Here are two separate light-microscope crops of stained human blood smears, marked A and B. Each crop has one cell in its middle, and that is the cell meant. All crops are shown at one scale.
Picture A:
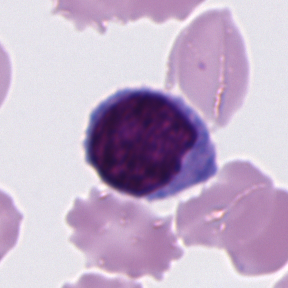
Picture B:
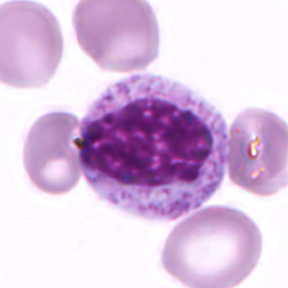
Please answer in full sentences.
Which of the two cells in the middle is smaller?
The cell in picture A is smaller; the one in picture B has about 1.5 times its area.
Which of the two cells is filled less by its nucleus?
In picture B the nucleus takes up the smaller part of its cell.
